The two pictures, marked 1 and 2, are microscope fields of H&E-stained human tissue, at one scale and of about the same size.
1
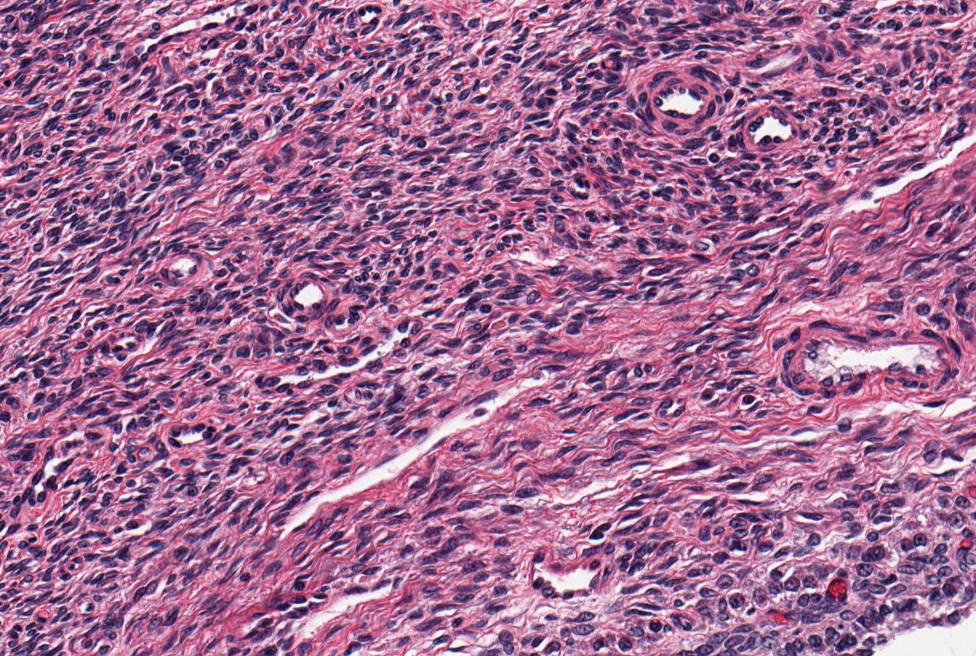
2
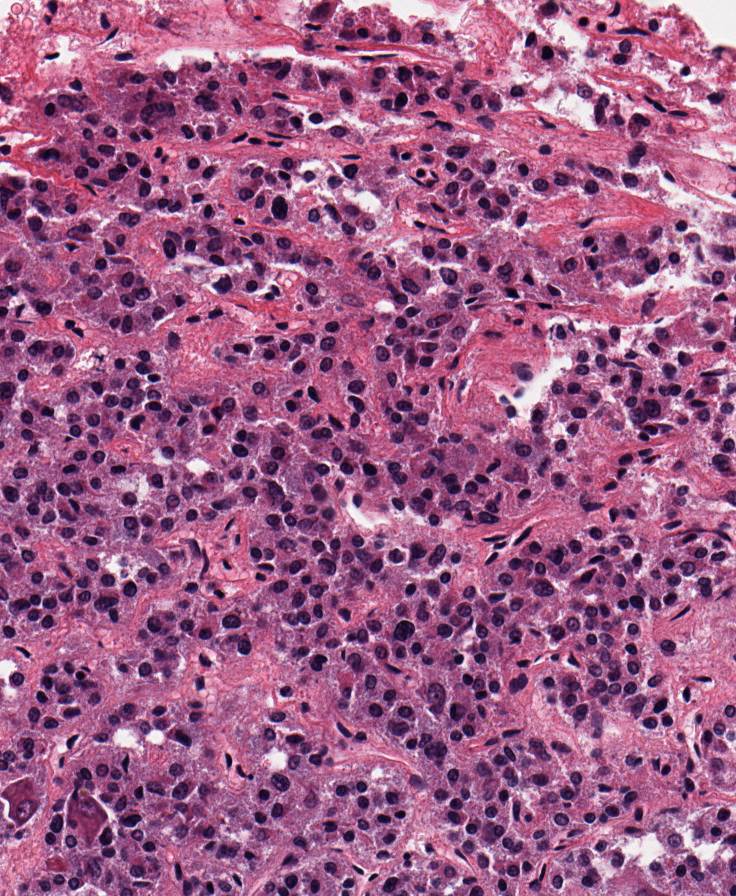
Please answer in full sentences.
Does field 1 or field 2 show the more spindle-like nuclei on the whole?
The nuclei are more elongated in field 1.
